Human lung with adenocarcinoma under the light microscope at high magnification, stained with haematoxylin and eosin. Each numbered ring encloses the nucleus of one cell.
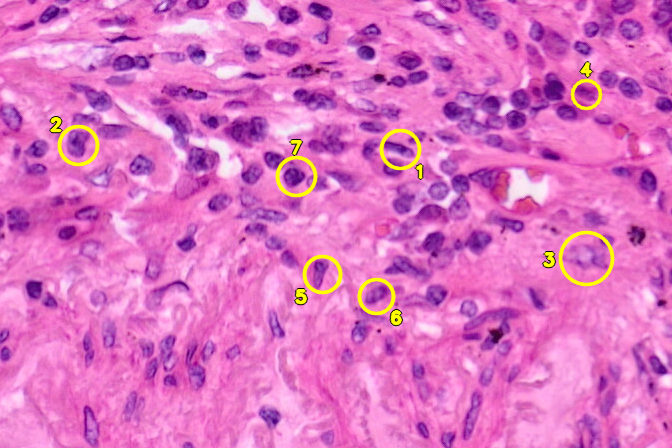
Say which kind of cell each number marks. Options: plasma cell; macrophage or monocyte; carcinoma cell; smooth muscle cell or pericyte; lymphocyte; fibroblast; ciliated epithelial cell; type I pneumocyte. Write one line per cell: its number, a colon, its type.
1: lymphocyte
2: lymphocyte
3: fibroblast
4: plasma cell
5: smooth muscle cell or pericyte
6: plasma cell
7: lymphocyte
